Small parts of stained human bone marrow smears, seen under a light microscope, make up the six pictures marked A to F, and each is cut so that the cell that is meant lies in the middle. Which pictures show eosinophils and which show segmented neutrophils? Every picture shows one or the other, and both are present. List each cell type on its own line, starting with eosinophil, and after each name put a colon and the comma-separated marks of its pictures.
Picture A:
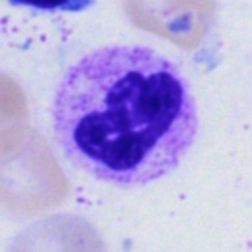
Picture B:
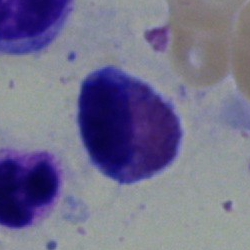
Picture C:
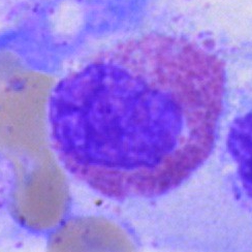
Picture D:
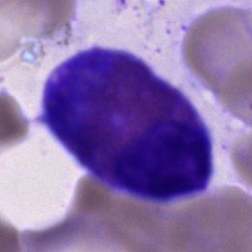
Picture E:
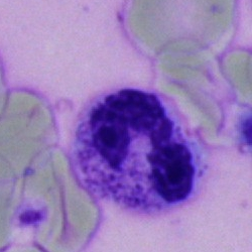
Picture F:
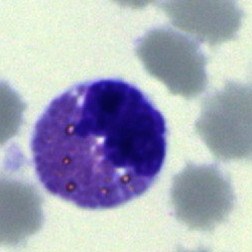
eosinophil: B, C, D, F
segmented neutrophil: A, E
